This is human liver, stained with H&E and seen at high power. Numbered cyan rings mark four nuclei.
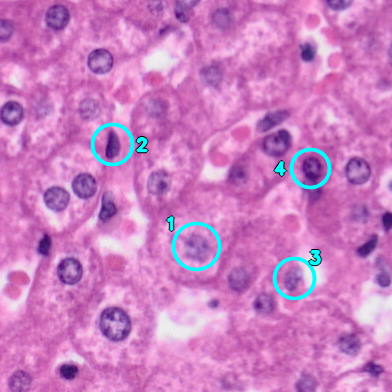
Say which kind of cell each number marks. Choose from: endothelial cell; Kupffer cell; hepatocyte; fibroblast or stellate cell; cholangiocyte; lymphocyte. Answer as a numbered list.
1. hepatocyte
2. fibroblast or stellate cell
3. Kupffer cell
4. hepatocyte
